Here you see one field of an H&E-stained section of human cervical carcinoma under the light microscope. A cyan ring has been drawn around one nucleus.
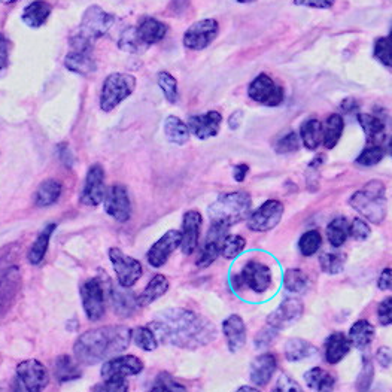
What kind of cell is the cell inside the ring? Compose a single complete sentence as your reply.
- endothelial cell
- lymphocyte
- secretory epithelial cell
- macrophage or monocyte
The category to which the cell inside the ring belongs is that of a lymphocyte.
